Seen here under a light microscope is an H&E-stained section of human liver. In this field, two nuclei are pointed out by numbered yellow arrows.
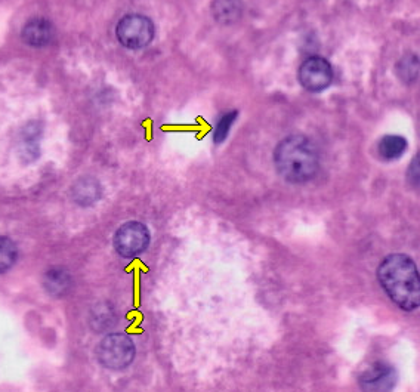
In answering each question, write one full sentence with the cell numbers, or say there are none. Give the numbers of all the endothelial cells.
Among the cells marked with numbers, the only one that is an endothelial cell is number 1.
